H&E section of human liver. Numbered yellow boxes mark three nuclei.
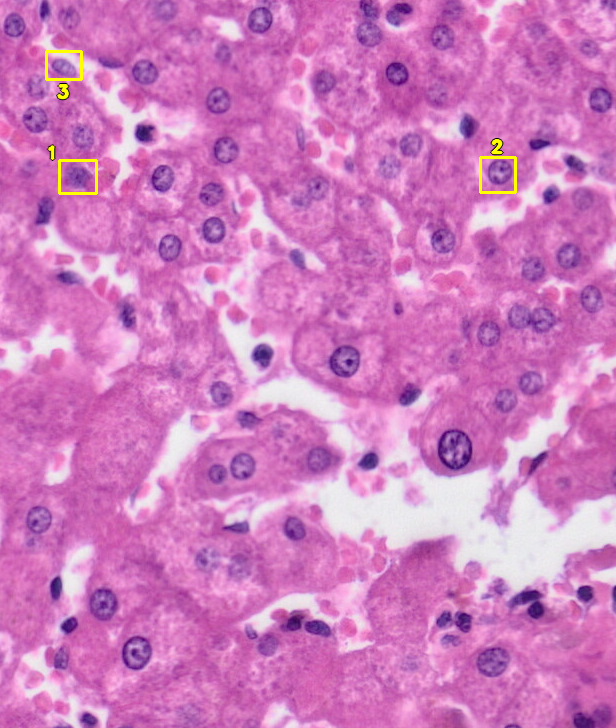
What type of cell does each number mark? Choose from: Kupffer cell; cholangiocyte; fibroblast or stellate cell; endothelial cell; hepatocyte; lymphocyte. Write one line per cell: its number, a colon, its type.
1: endothelial cell
2: hepatocyte
3: Kupffer cell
